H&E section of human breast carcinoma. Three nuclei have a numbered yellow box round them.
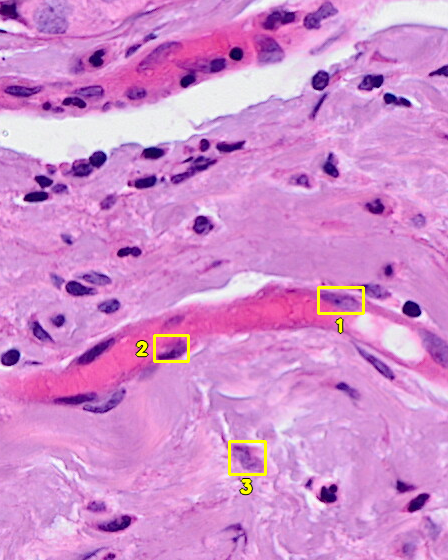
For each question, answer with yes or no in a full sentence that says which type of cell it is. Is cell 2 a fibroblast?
No, with respect, cell 2 is an endothelial cell rather than a fibroblast.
